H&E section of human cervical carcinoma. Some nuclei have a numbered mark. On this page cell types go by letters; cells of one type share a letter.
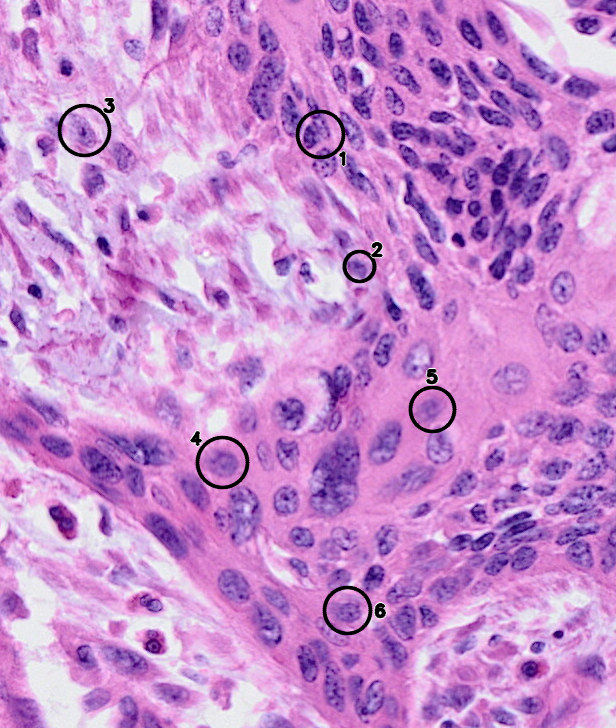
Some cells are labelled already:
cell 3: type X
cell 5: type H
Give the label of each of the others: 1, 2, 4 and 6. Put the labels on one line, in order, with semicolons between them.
type H; type X; type H; type H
